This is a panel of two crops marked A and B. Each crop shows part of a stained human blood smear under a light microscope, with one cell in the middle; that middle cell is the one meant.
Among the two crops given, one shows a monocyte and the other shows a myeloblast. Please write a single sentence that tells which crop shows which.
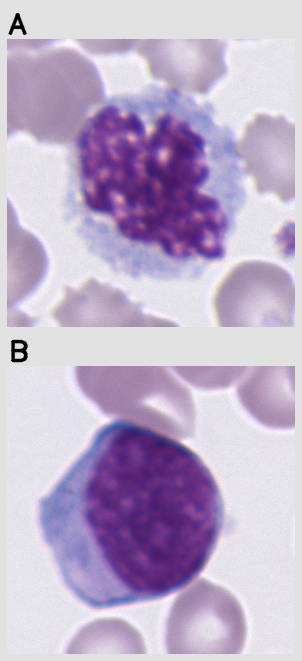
What crop A shows is a monocyte, and what crop B shows is a myeloblast.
